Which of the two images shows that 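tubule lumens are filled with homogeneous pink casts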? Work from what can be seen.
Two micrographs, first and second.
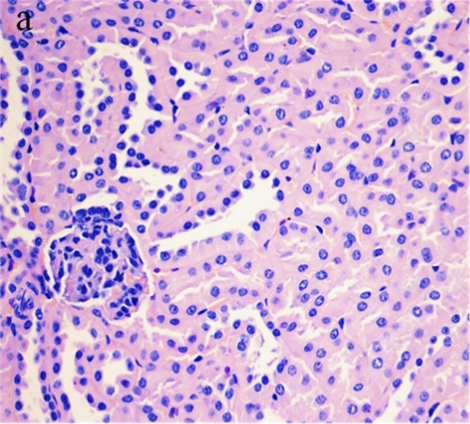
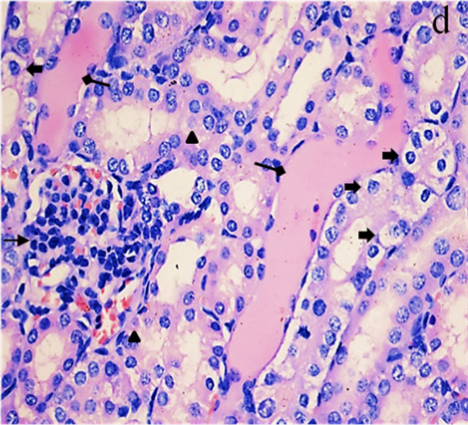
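Second image: several tubules are distended by solid, glassy pink material. First image: tubule lumens are empty and clear.
Hence: the second image.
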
